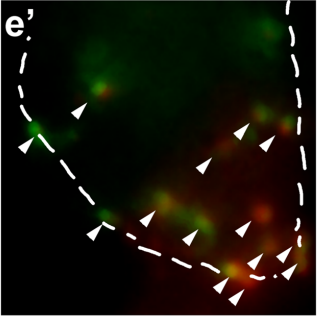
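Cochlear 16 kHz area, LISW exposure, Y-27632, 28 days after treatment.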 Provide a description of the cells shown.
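Here we look at the rounded base of an inner hair cell, outlined by a white dashed line. Many small puncta crowd along the bottom of the outline and up its sides. Few if any red puncta stand alone without a green partner. The densest cluster of these paired spots lies at the lowest point of the cell.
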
